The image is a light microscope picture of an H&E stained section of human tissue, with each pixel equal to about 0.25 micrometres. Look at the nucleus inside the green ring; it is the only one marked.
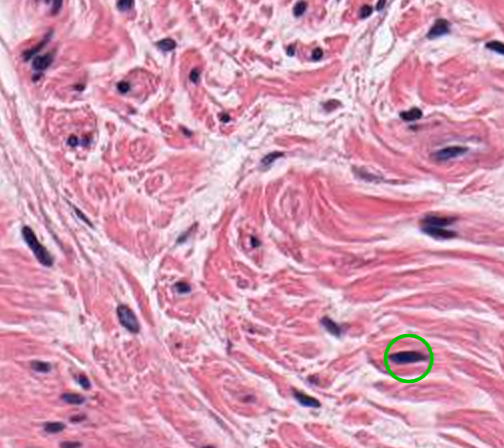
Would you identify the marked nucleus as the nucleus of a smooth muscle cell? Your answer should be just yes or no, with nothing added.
yes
